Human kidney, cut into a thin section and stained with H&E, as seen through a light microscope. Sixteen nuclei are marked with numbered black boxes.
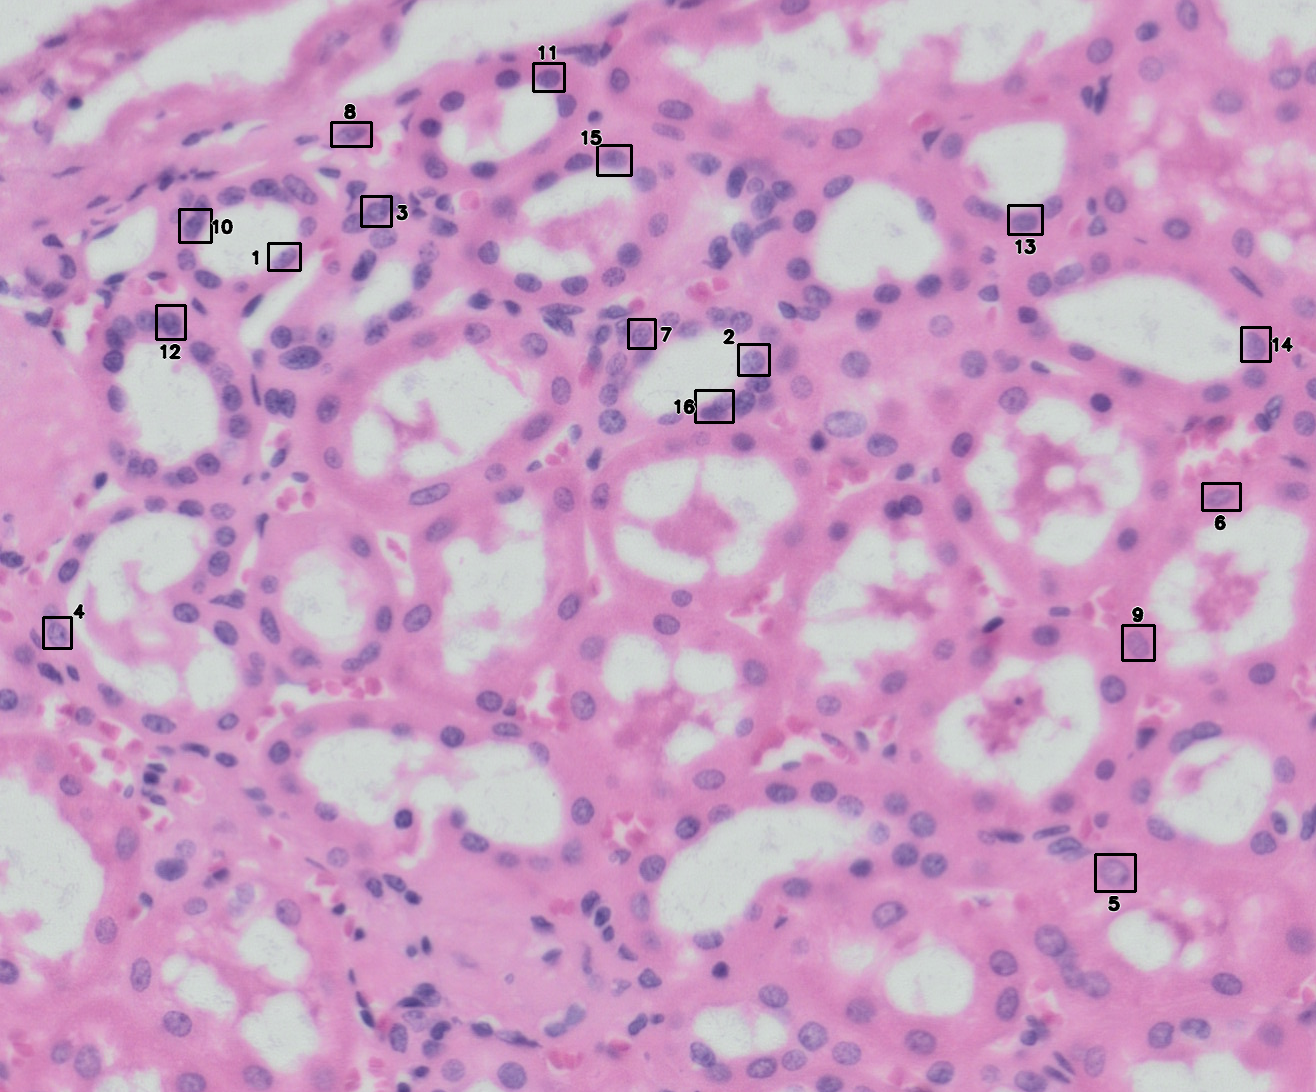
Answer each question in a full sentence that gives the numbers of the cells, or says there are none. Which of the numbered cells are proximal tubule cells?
The cells with labels 5, 6 and 9 are proximal tubule cells.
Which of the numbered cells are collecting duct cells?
So, the cells with numbers 1, 2, 3, 4, 7, 8, 10, 12 and 16 are collecting duct cells.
